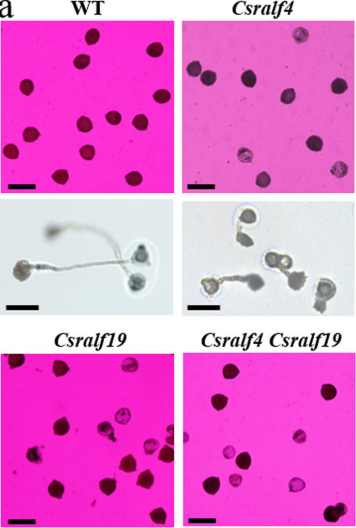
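The upper images show scattered, rounded pollen grains stained dark red to magenta on a pink background. Most grains are deeply and evenly stained. In some images, a few grains are paler or look shrunken and irregular in outline. From some grains a thin tube grows outward; in one image this tube is long and curving, while in others the tubes are short or absent.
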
